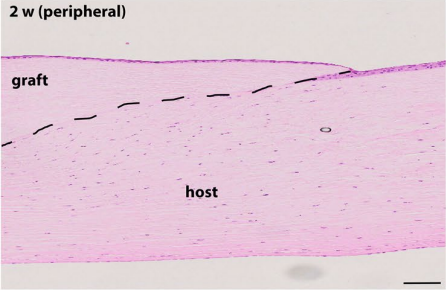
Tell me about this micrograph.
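Low-power section of corneal stroma with a thin covering epithelium. A pale pink, even, lamellar layer lies above a dashed line and tapers towards one side; it holds almost no nuclei. Below the line, the thicker stroma shows parallel eosinophilic collagen lamellae with many small, flat, dark nuclei of stromal cells spread evenly between them. A thin, darker pink epithelial layer runs continuously across the surface of both the upper and lower layers. The interface between the two stromal layers is smooth, without a gap.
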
